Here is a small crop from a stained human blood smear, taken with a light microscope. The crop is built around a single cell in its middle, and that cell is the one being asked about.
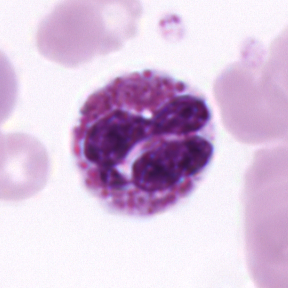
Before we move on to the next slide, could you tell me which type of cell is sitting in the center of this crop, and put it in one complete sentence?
The middle of this crop is occupied by an eosinophil.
